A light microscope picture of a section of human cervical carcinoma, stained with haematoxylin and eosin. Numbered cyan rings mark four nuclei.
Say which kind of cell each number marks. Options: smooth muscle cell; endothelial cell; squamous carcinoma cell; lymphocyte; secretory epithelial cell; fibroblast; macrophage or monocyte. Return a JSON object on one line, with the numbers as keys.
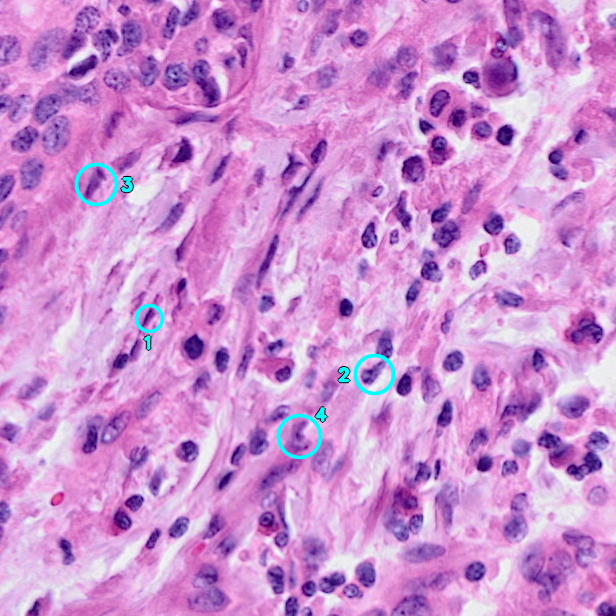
{"1": "fibroblast", "2": "lymphocyte", "3": "fibroblast", "4": "endothelial cell"}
